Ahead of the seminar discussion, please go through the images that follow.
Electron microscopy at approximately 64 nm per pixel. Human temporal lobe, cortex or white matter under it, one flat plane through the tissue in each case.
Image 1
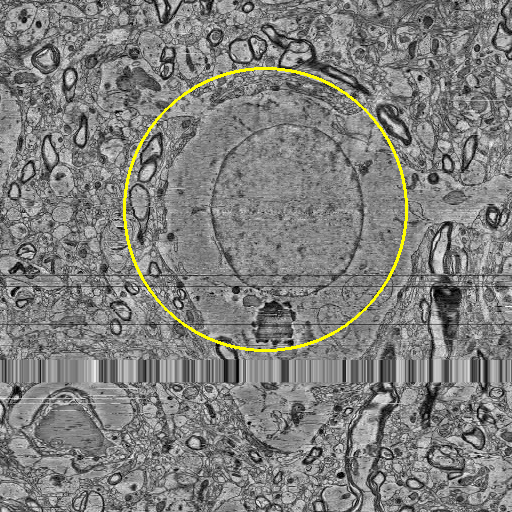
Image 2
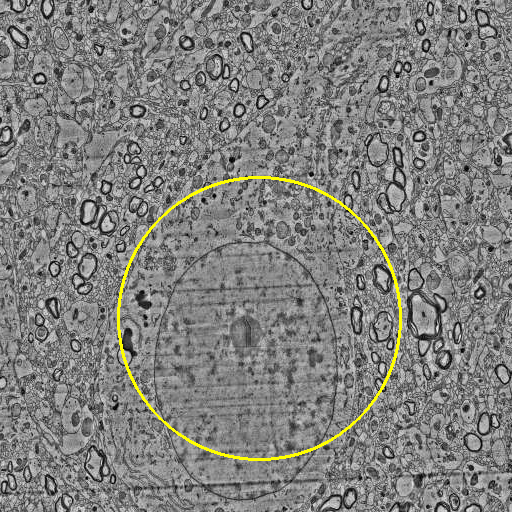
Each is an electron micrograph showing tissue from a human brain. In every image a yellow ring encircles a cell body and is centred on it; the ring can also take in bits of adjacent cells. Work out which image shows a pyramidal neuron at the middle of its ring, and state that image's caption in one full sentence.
In Image 2, the ring's centre holds the cell you are looking for.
